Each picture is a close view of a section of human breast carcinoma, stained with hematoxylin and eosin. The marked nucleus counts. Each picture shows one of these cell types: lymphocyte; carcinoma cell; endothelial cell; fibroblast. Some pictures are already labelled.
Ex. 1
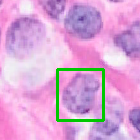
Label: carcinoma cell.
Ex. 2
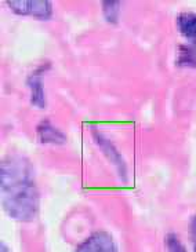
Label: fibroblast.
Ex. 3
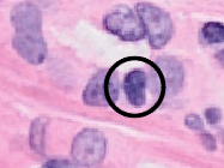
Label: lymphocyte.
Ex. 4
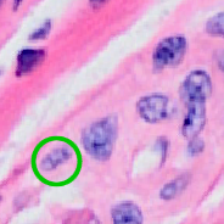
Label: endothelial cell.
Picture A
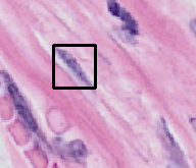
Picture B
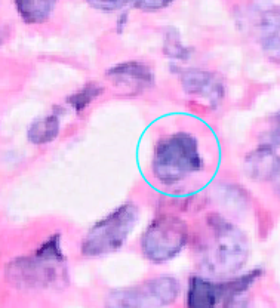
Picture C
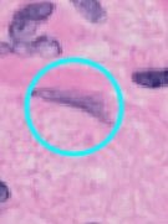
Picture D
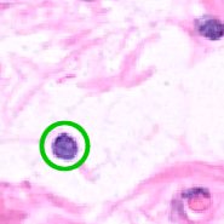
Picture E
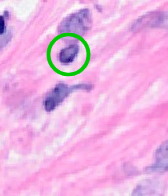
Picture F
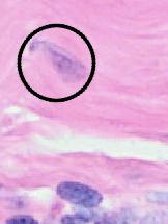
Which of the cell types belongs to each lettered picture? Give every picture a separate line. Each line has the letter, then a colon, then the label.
A: fibroblast.
B: carcinoma cell.
C: fibroblast.
D: lymphocyte.
E: lymphocyte.
F: fibroblast.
